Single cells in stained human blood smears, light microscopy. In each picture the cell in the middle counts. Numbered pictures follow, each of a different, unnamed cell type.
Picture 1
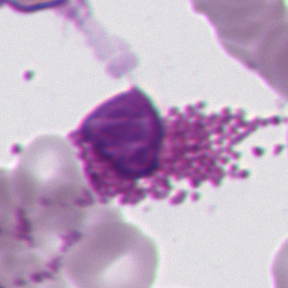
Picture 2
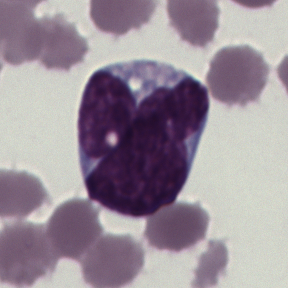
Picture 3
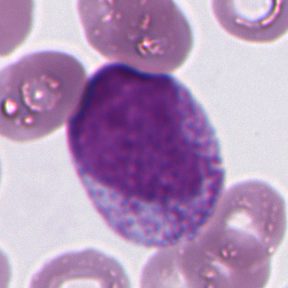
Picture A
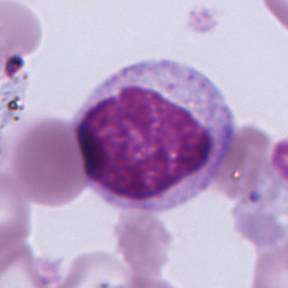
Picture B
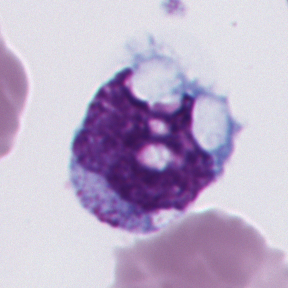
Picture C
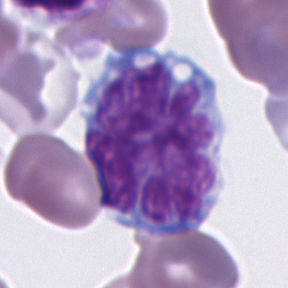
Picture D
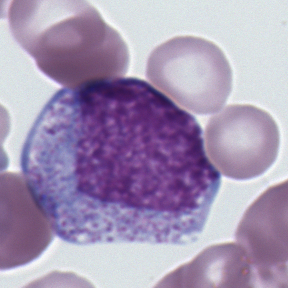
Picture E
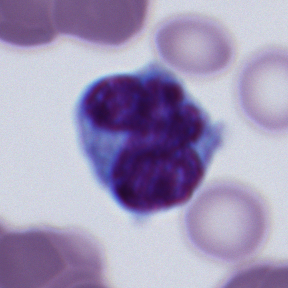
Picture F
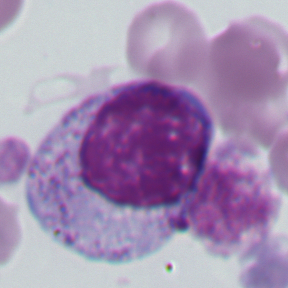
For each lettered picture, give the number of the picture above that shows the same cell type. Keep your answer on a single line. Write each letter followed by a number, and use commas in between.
A 3, B 2, C 2, D 3, E 2, F 3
